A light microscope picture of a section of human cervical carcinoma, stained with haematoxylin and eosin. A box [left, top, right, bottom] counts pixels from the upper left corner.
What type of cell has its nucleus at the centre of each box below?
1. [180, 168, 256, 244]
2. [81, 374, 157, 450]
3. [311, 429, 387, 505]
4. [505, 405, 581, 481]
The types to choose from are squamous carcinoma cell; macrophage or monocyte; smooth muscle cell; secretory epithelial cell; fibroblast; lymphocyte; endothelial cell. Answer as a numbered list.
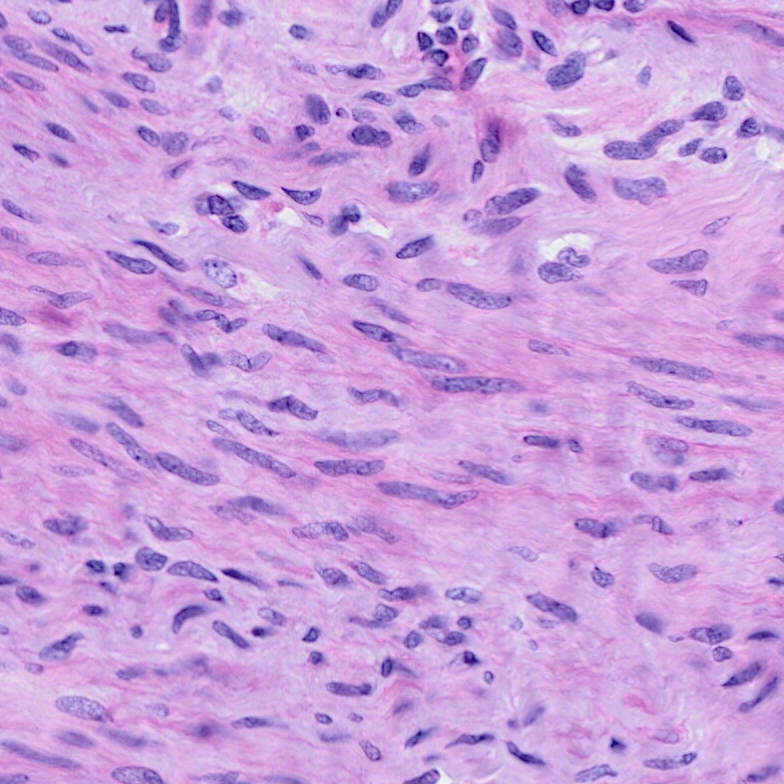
1. endothelial cell
2. smooth muscle cell
3. smooth muscle cell
4. smooth muscle cell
